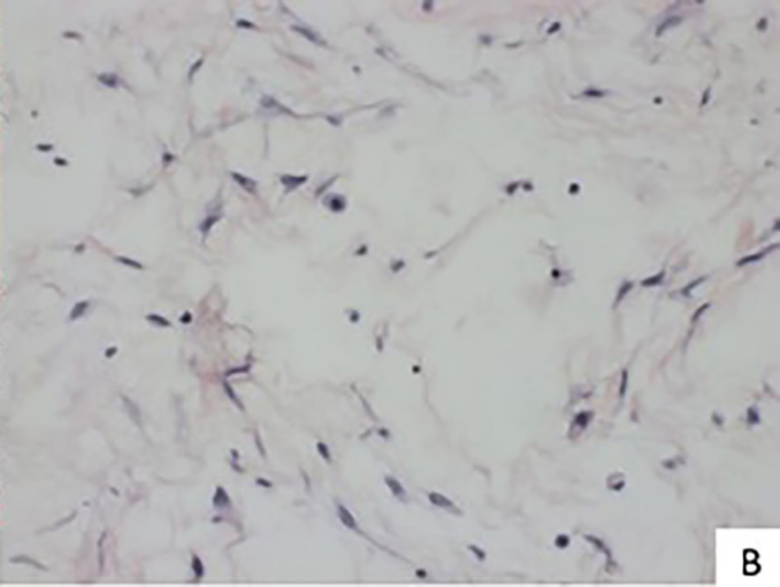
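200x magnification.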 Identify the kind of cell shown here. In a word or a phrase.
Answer: Fusiform and stellate cells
